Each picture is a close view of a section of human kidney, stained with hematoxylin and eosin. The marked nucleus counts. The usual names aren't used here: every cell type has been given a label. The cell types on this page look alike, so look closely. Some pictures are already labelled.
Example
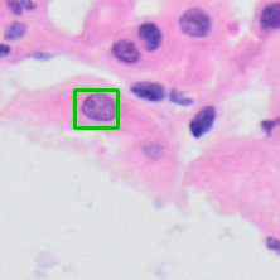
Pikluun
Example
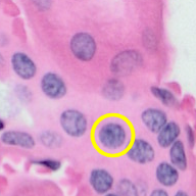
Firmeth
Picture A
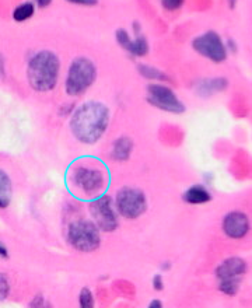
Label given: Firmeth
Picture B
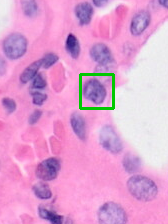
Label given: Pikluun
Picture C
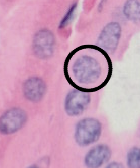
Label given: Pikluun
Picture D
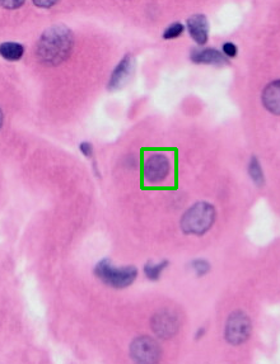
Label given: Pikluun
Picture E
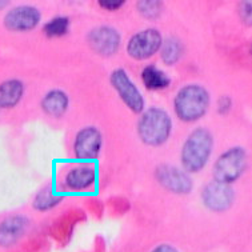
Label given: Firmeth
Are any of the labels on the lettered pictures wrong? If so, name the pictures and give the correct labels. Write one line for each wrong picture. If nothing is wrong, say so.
B should be Firmeth, not Pikluun
C should be Firmeth, not Pikluun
